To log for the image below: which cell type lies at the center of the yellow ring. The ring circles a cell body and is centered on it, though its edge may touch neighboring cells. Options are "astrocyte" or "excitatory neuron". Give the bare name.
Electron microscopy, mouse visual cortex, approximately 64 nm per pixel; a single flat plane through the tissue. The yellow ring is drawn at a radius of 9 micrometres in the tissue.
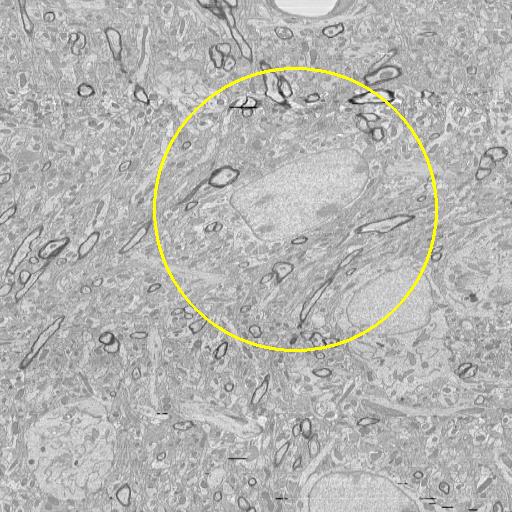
astrocyte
